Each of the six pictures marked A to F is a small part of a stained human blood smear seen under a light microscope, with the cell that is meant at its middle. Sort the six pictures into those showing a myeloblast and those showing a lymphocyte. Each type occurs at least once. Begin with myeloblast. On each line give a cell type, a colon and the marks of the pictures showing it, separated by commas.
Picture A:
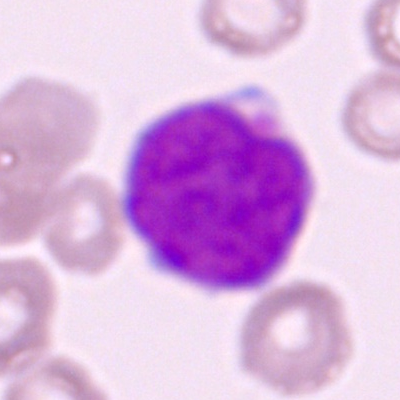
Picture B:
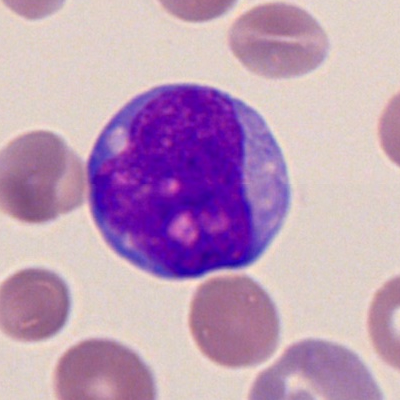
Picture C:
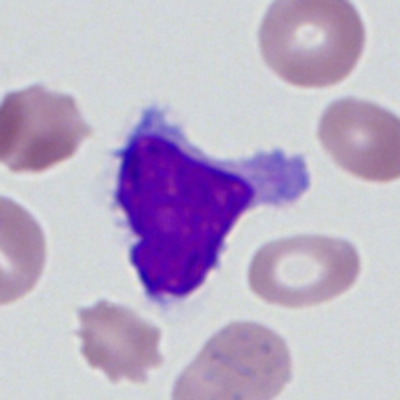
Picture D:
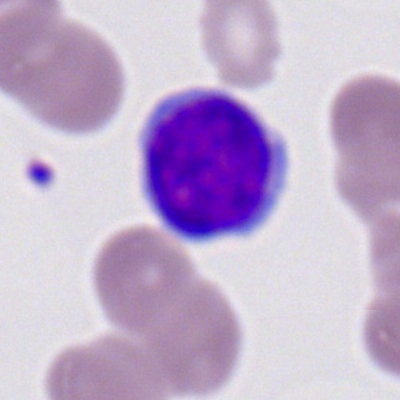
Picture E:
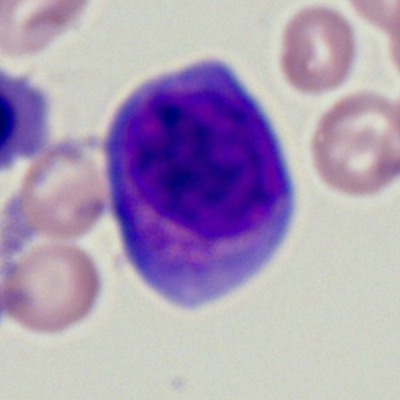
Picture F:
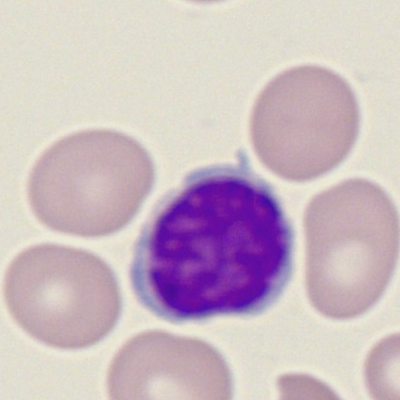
myeloblast: A, B, E
lymphocyte: C, D, F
